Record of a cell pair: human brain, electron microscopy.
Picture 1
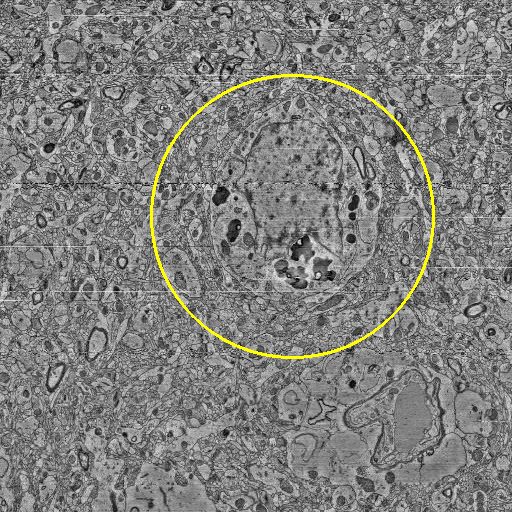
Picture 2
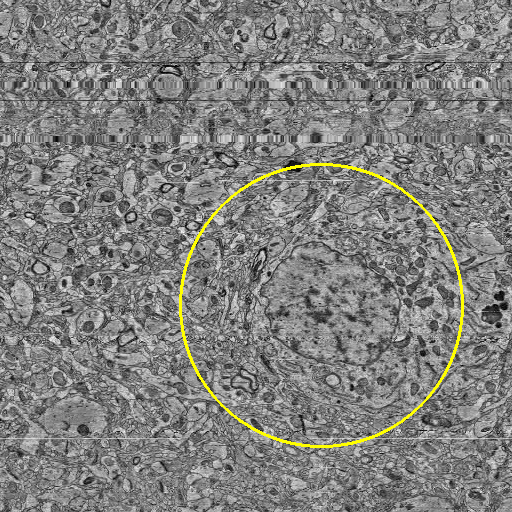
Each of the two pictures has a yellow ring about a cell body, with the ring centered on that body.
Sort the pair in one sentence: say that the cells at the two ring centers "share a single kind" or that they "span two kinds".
The cells centered in the rings of Pictures 1 and 2 share a single kind.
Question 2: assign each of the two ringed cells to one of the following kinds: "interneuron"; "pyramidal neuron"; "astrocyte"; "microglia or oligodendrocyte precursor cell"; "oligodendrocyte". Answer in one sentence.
Each of the two rings surrounds an interneuron.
